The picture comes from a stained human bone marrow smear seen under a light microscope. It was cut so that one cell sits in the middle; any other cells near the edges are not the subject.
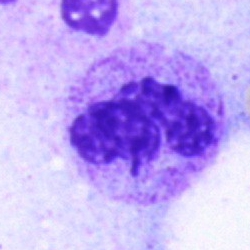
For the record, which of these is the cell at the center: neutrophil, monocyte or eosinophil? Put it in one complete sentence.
The cell of interest, located centrally, is a neutrophil.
